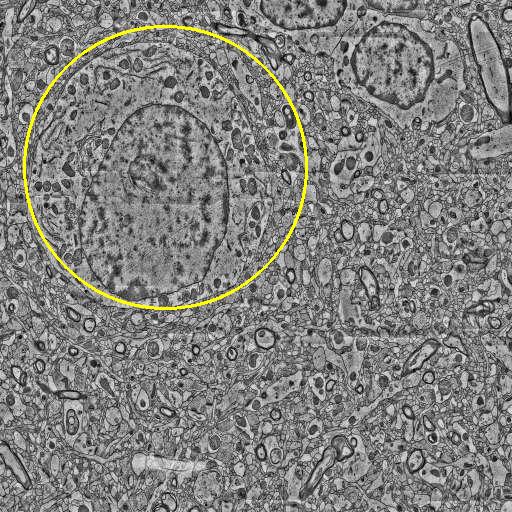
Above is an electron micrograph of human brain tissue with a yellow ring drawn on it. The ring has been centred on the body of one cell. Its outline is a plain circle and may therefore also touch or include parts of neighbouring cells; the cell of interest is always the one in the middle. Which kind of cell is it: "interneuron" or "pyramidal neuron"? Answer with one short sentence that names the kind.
The ring's central cell body is that of an interneuron.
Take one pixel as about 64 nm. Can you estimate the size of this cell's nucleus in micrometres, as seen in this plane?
About 12 by 9 micrometres in this plane.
